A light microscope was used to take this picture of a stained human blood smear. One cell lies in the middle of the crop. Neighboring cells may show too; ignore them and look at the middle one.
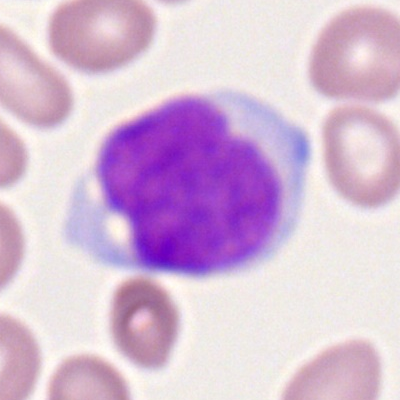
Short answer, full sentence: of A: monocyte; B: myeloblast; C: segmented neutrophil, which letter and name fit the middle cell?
Well, the cell in the middle is a monocyte, making option A right.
